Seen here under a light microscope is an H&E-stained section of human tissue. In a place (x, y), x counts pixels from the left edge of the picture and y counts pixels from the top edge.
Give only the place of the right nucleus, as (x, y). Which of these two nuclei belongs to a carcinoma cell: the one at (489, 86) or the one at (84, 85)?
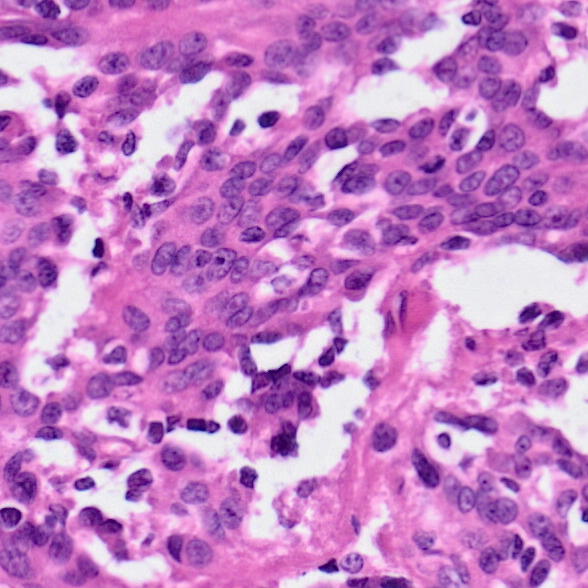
(489, 86)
